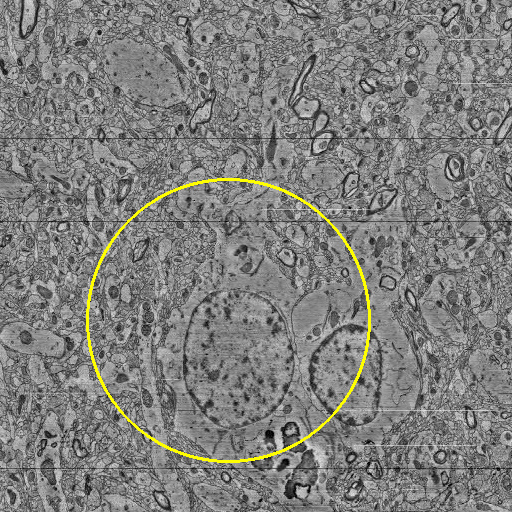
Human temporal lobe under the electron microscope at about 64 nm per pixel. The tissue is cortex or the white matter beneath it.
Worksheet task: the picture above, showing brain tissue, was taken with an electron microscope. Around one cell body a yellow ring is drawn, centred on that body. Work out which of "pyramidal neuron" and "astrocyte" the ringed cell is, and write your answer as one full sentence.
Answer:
It is an astrocyte whose cell body lies at the centre of the yellow ring.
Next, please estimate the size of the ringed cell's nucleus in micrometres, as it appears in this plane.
Roughly 9 by 7 micrometres in this plane, for the nucleus of the ringed cell.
